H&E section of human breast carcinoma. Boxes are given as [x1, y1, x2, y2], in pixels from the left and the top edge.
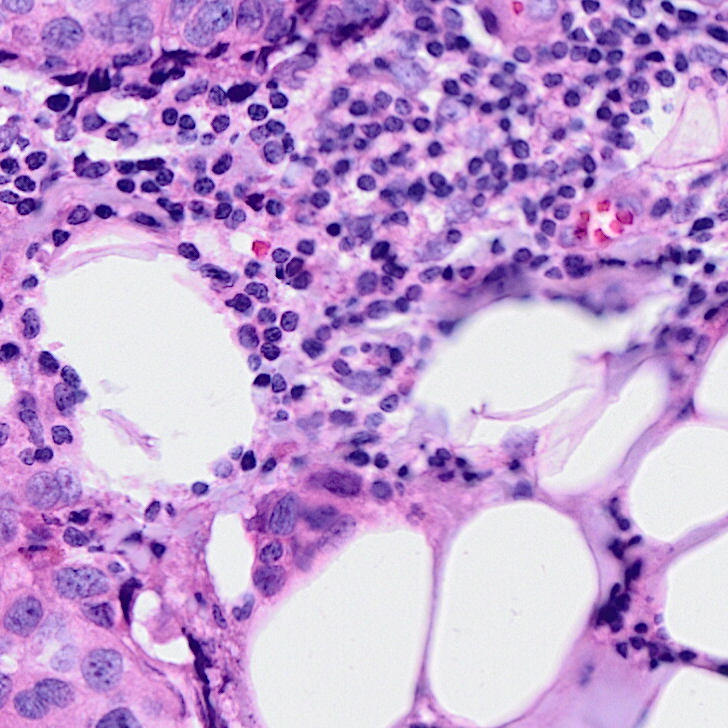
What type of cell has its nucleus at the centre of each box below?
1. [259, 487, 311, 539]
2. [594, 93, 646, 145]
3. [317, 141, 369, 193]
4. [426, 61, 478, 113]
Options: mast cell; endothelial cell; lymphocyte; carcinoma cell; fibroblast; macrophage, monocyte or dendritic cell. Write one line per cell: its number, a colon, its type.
1: carcinoma cell
2: lymphocyte
3: lymphocyte
4: lymphocyte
